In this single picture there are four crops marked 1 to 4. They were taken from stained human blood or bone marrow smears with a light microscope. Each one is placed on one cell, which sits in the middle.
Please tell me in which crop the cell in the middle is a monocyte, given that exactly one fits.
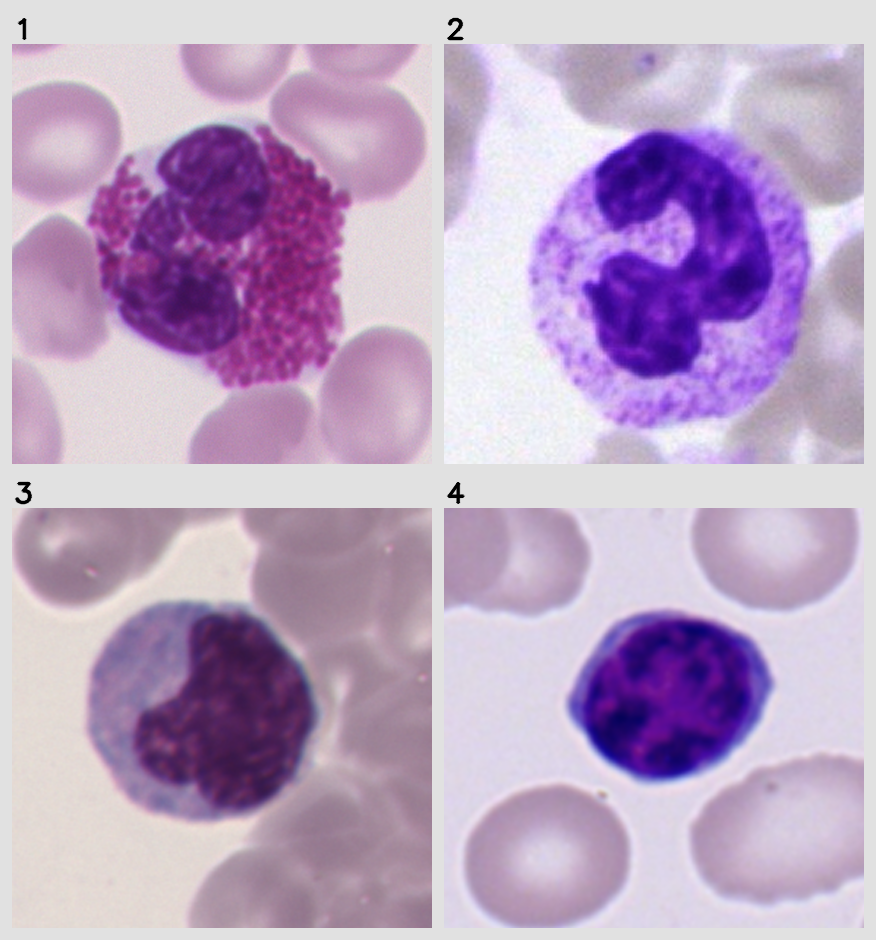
3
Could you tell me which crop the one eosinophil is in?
1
